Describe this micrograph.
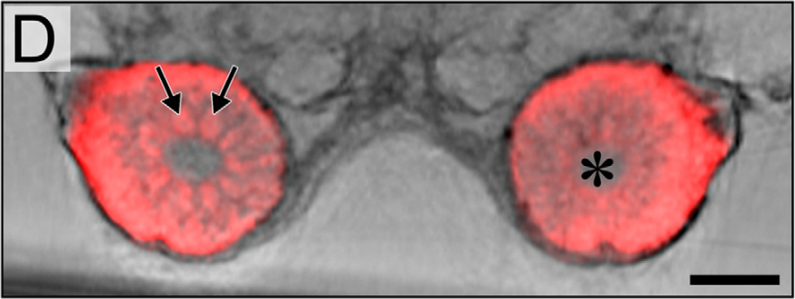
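This optical section shows the two antennal lobes of an insect brain as two large, round neuropils at the lower edge of the brain, surrounded by grey tissue. In the left lobe the red label is broken into many small, discrete glomeruli arranged radially around a grey, unlabelled central core. In the right lobe the red label fills the lobe more evenly and distinct glomeruli are not clearly set apart. Both lobes are bounded by a darker rim, and above them lie smaller rounded grey structures of the remaining brain. The two lobes are of similar size.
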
